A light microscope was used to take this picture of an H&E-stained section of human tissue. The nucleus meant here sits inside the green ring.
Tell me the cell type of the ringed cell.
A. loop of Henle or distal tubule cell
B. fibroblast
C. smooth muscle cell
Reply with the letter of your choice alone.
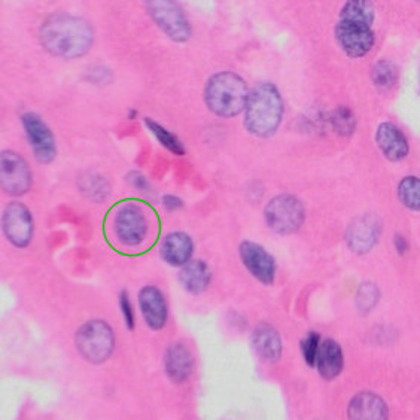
A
